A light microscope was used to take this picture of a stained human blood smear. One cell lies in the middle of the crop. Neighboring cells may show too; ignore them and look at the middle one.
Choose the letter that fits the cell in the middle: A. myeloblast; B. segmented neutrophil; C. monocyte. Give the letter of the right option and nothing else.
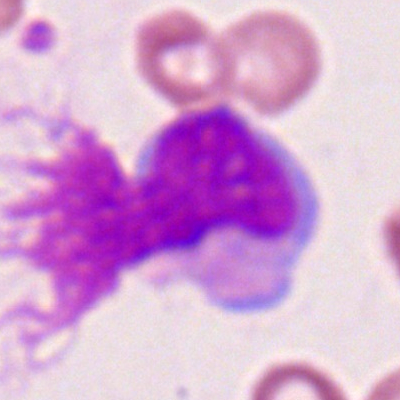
C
